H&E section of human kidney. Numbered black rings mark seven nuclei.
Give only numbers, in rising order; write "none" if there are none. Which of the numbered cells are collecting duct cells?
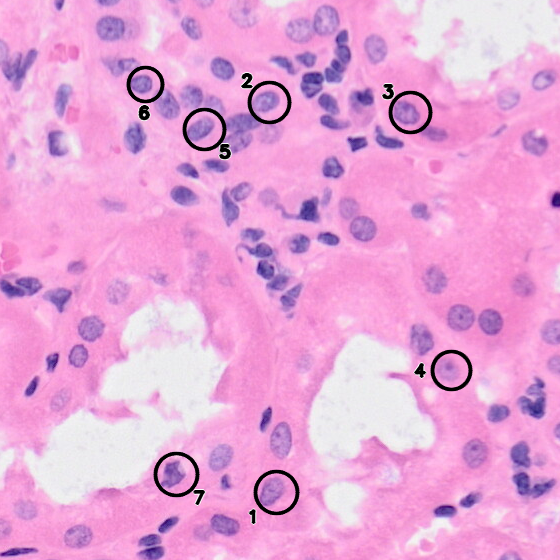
2, 5, 6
